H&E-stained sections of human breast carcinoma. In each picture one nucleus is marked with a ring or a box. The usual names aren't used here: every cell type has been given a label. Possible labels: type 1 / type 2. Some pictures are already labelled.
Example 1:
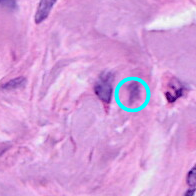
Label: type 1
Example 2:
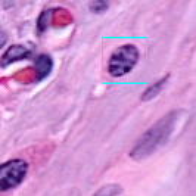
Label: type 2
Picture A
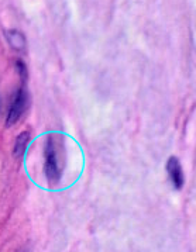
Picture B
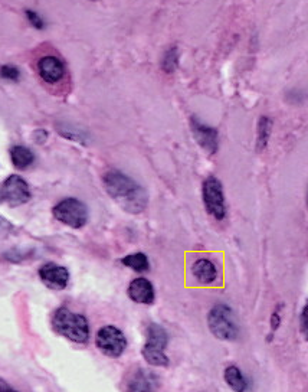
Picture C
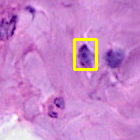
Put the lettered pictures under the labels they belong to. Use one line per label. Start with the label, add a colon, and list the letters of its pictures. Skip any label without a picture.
type 1: A, C
type 2: B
